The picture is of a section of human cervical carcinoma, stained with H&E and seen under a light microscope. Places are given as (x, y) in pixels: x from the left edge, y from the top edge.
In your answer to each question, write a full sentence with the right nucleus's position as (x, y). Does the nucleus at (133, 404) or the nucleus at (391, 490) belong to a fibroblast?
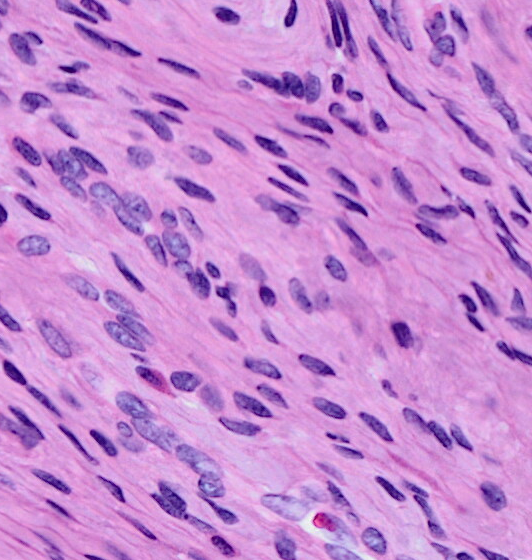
The nucleus at (391, 490) is assigned to a fibroblast.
